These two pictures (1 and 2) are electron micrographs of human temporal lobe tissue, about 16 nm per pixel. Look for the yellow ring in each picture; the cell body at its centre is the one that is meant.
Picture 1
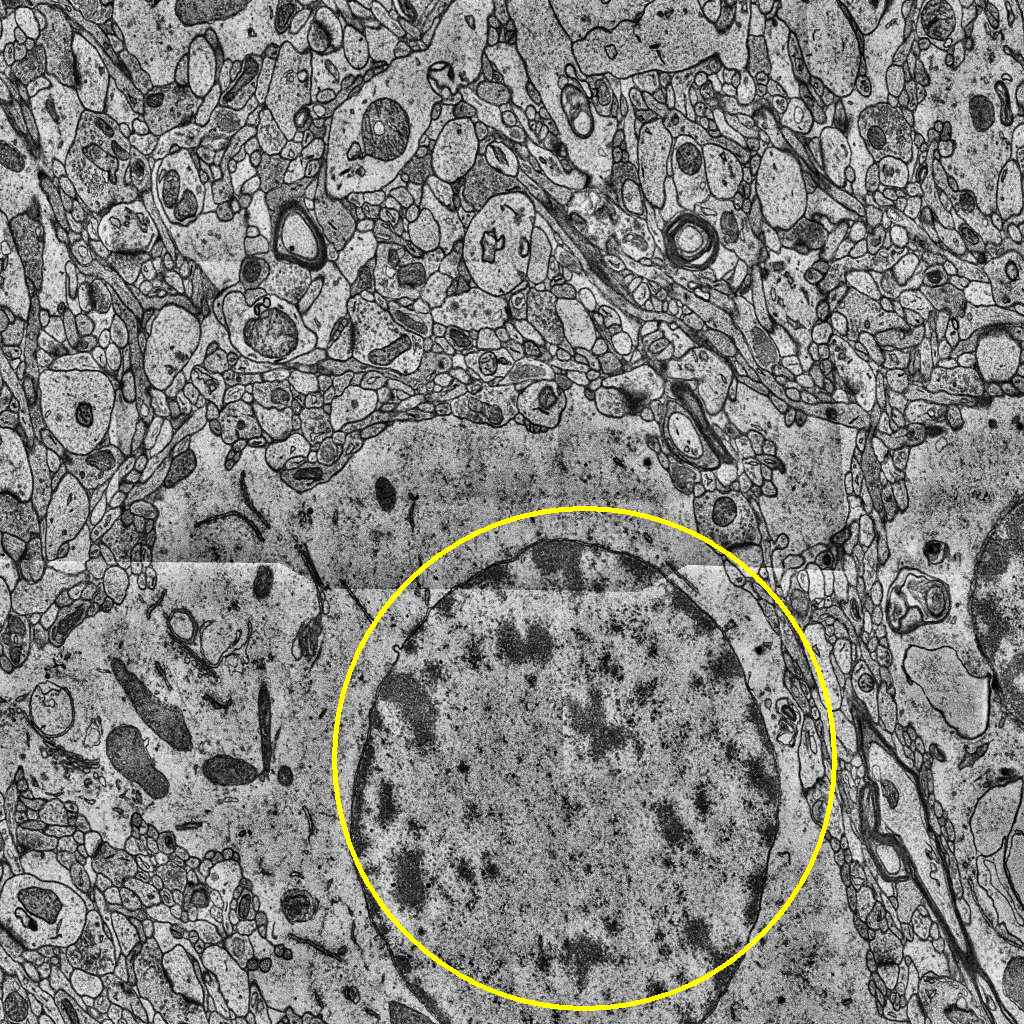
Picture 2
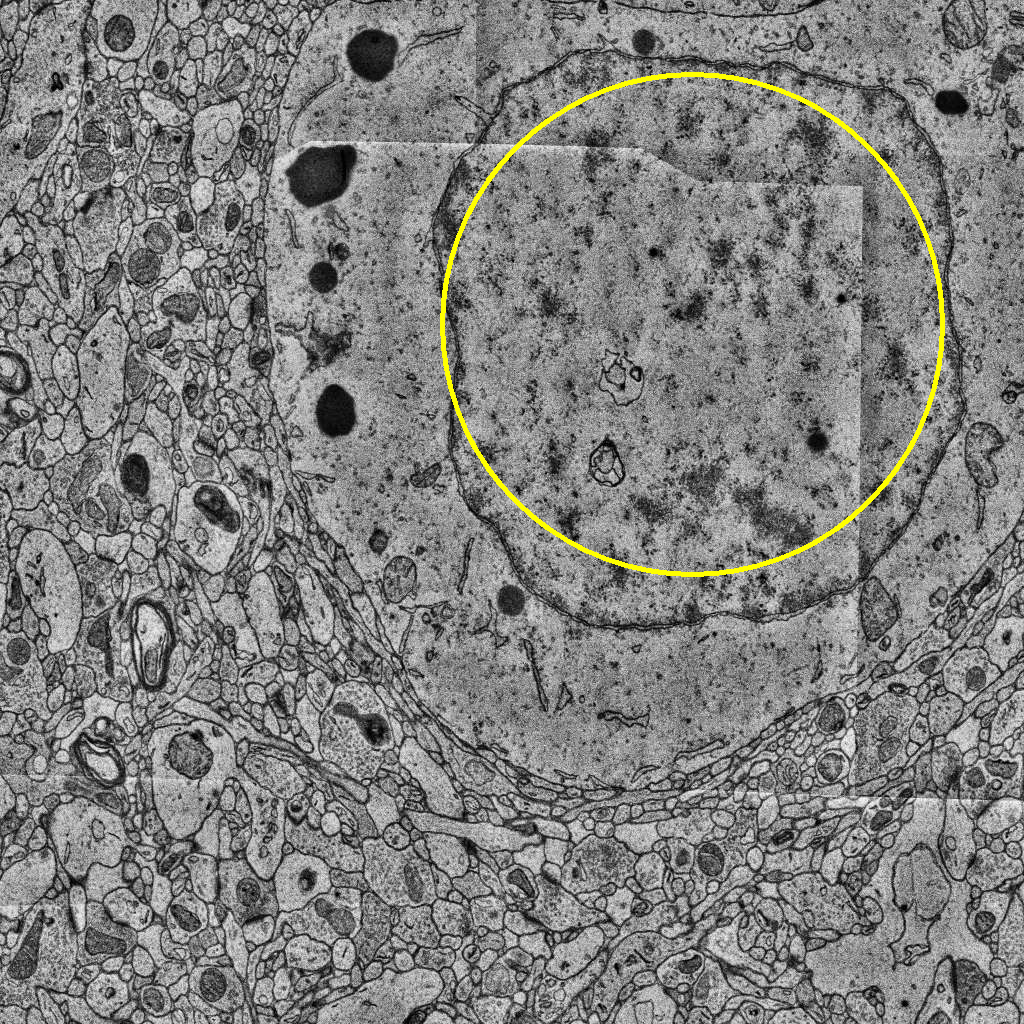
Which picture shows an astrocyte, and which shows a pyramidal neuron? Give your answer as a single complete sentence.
Picture 1 is of an astrocyte, and picture 2 is of a pyramidal neuron.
